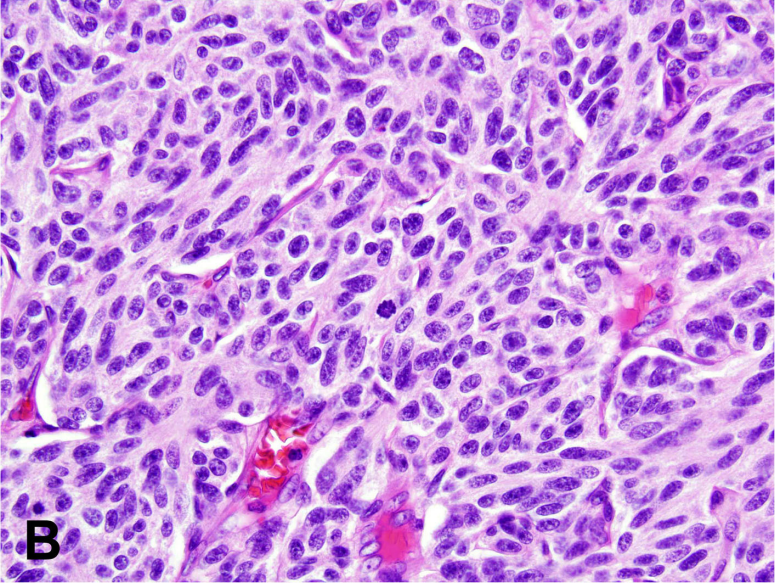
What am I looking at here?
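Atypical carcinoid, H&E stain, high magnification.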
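Sheets of tumor cells with oval to elongated nuclei, finely granular chromatin and a moderate amount of pink cytoplasm are separated by delicate vessels containing red blood cells. Near the centre one nucleus is replaced by a dense dark clump of condensed chromatin. These are tumor cells with neuroendocrine cytologic features, with a mitotic figure in the center.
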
